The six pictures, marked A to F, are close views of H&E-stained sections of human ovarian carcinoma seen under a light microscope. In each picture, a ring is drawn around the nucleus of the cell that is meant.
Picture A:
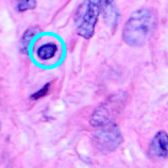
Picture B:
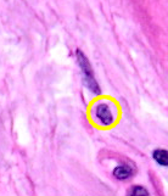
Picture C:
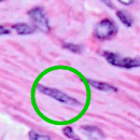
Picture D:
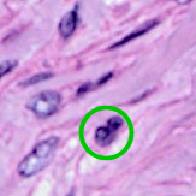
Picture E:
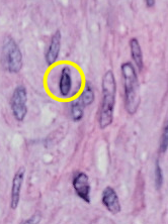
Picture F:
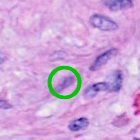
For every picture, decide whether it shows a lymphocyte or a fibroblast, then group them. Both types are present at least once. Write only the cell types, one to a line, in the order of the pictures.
lymphocyte
lymphocyte
fibroblast
lymphocyte
lymphocyte
fibroblast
